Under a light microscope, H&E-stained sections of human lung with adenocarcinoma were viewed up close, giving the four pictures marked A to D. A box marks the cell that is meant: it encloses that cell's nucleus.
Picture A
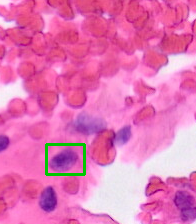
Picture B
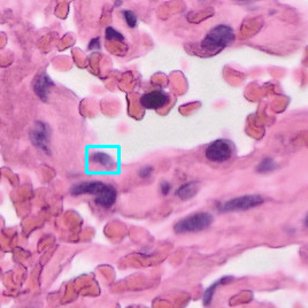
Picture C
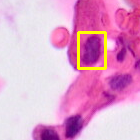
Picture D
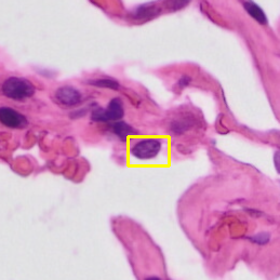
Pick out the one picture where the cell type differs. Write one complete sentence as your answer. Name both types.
Picture C differs, because its cell is a “macrophage or monocyte” and the rest are type I pneumocytes.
